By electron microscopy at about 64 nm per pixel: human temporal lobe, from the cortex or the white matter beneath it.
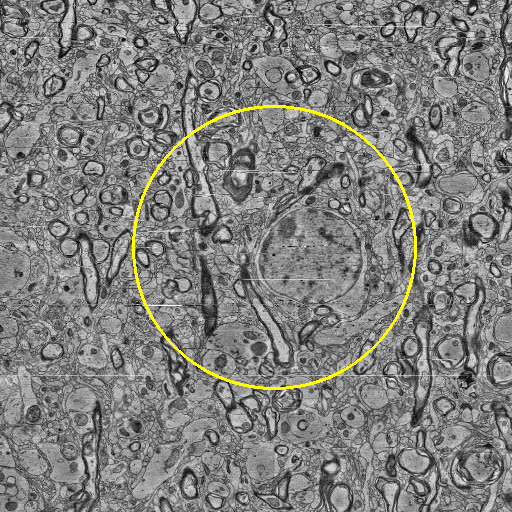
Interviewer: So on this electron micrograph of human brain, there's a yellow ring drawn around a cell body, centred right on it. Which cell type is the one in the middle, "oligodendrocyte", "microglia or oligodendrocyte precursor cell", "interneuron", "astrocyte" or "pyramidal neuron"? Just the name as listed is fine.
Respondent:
microglia or oligodendrocyte precursor cell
